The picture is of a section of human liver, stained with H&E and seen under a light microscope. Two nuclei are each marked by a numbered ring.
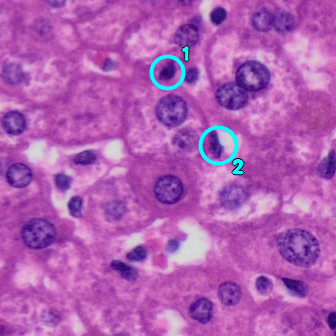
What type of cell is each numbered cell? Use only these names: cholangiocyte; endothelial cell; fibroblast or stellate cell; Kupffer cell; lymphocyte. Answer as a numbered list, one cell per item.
1. fibroblast or stellate cell
2. endothelial cell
